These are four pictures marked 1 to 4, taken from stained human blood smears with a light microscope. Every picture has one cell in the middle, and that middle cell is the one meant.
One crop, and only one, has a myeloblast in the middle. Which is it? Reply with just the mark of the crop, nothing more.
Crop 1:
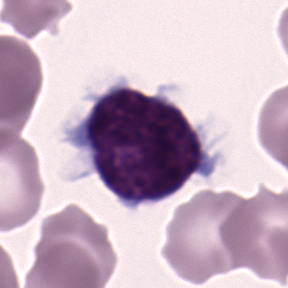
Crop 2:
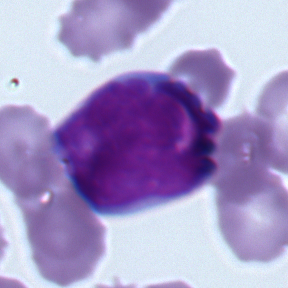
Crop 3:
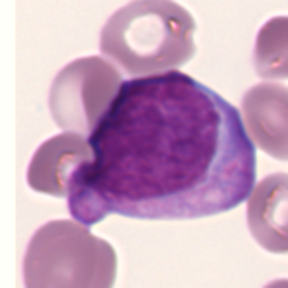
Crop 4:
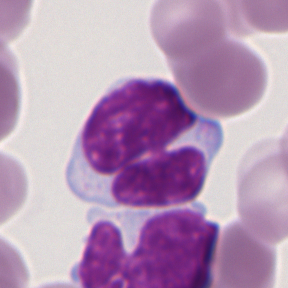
2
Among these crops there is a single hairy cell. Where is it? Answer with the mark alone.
1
